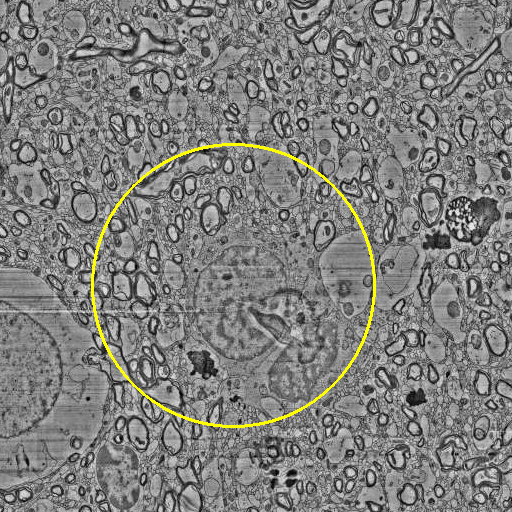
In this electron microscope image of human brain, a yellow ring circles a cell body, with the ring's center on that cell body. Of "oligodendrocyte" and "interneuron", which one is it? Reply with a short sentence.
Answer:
It is an oligodendrocyte at the center of the ring.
